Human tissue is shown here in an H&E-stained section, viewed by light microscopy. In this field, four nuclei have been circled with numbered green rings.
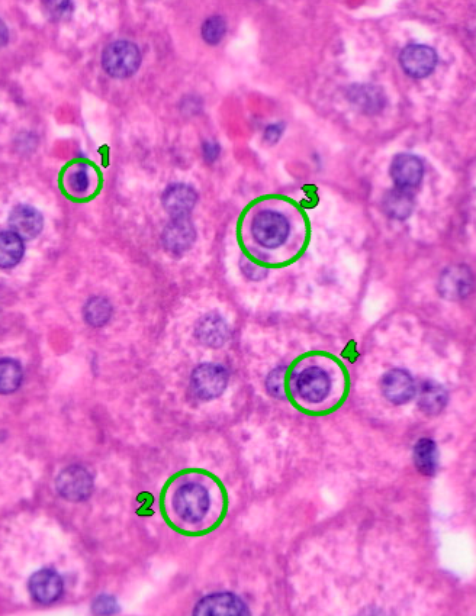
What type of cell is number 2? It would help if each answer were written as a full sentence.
The cell to which the number 2 is assigned is a hepatocyte.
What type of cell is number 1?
The correct answer for cell 1 is a lymphocyte.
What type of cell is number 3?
The cell that bears the number 3 is a hepatocyte.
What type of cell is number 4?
The mark numbered 4 indicates the nucleus of a hepatocyte.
